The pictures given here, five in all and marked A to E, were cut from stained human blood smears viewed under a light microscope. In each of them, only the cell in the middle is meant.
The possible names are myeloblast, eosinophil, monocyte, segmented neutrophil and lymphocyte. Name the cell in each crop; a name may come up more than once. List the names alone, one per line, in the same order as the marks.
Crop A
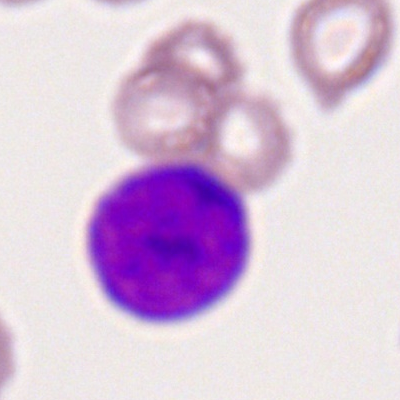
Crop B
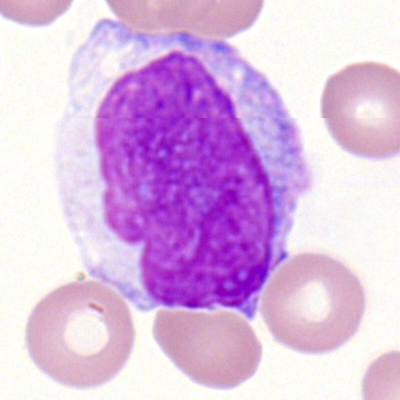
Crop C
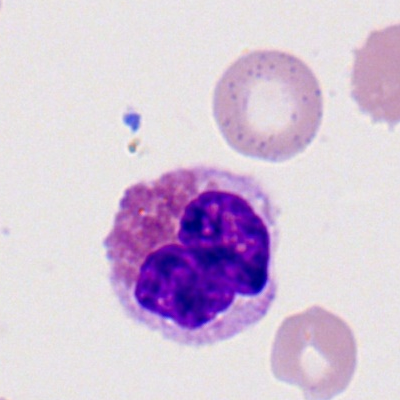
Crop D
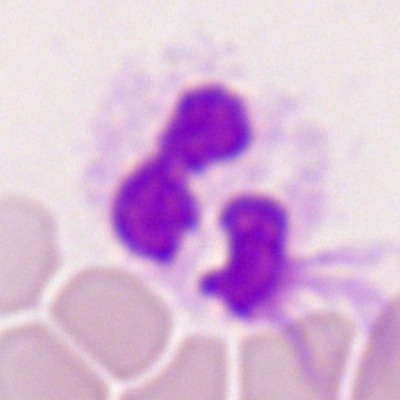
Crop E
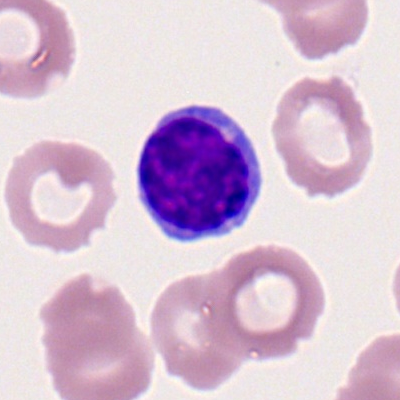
myeloblast
monocyte
eosinophil
segmented neutrophil
lymphocyte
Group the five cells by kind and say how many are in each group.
myeloblast: 1
monocyte: 1
eosinophil: 1
segmented neutrophil: 1
lymphocyte: 1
